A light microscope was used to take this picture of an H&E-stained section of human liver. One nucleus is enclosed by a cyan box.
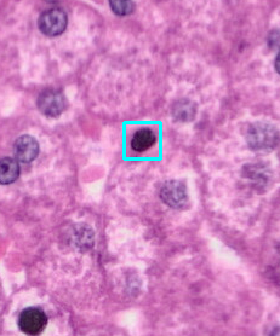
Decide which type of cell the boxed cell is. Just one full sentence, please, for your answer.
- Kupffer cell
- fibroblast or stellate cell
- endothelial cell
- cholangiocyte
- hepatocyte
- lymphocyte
Within this tissue, the boxed cell is a Kupffer cell.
